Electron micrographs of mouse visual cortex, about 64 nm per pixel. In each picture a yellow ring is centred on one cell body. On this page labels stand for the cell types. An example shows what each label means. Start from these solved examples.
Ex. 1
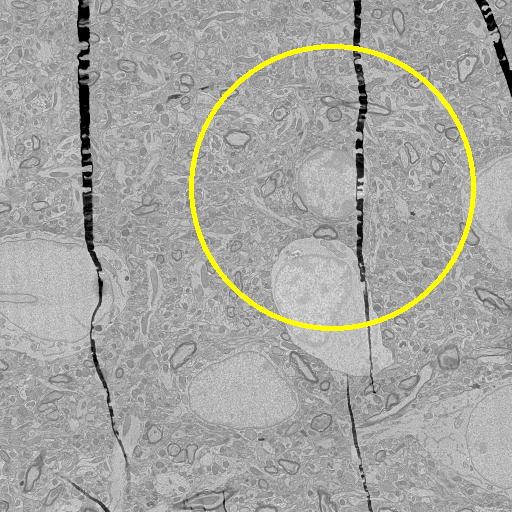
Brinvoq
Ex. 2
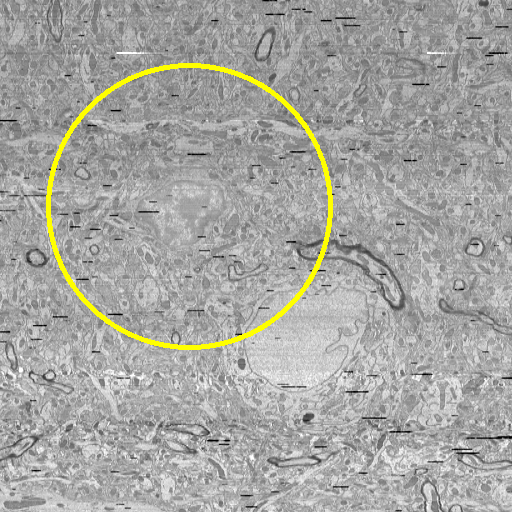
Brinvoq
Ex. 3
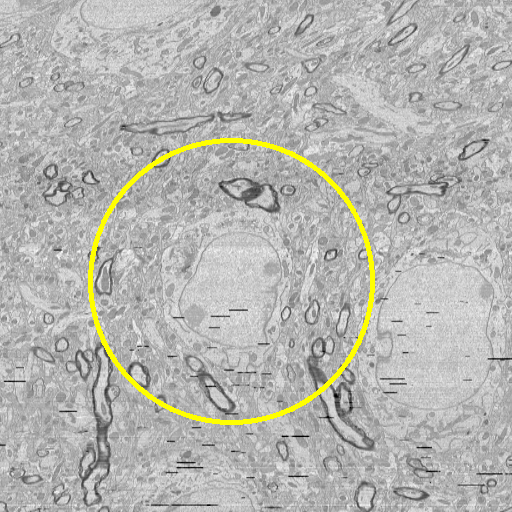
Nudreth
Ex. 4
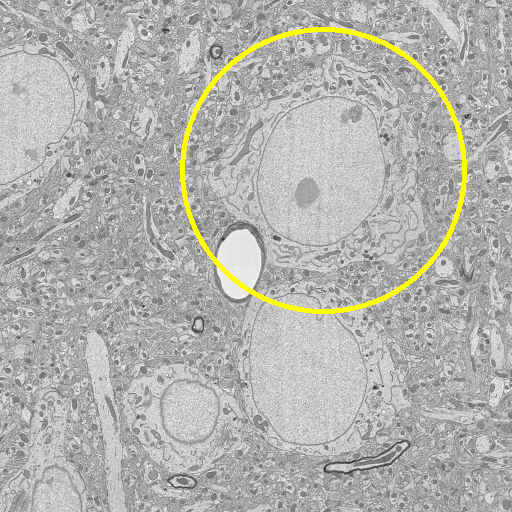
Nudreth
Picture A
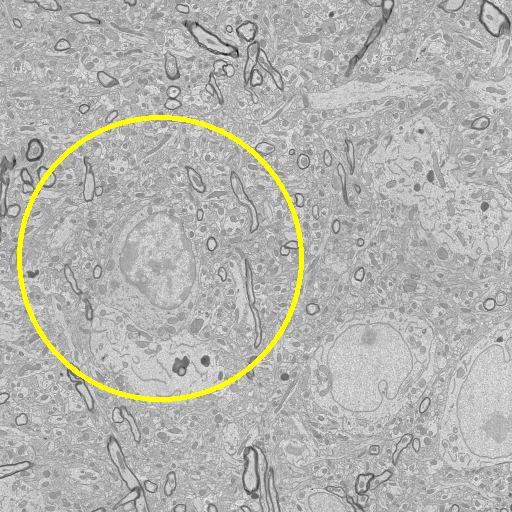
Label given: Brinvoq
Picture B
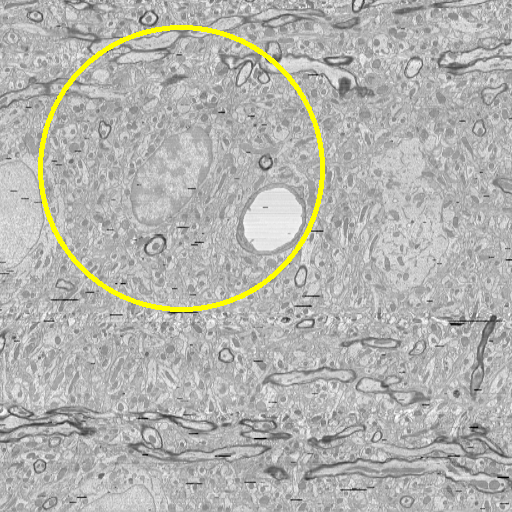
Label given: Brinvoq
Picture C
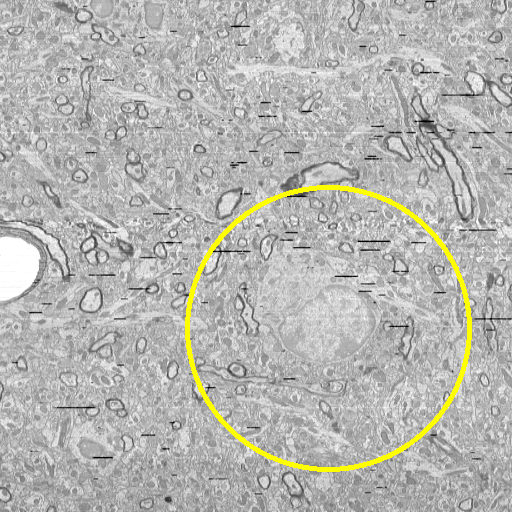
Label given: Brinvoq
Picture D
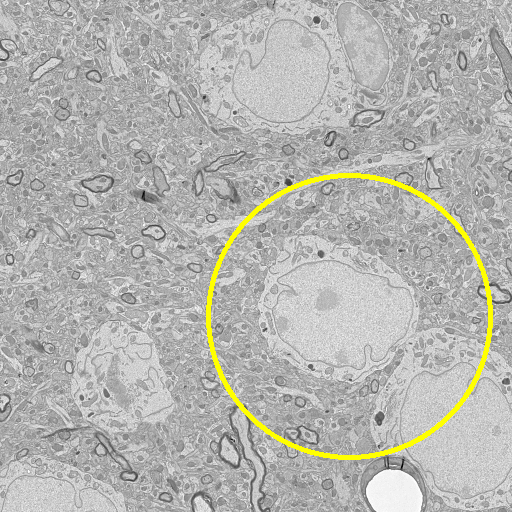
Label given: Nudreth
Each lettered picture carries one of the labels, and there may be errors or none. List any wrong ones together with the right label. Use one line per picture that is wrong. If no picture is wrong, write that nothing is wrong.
No label is wrong.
